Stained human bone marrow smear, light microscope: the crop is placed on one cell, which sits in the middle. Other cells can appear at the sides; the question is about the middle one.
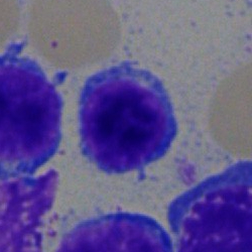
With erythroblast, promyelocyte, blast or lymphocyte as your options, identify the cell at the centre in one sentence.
In the center of this field lies a lymphocyte.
